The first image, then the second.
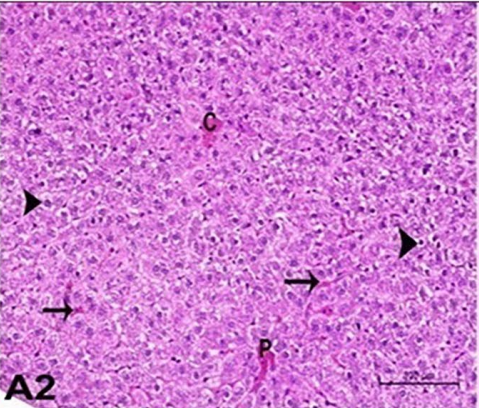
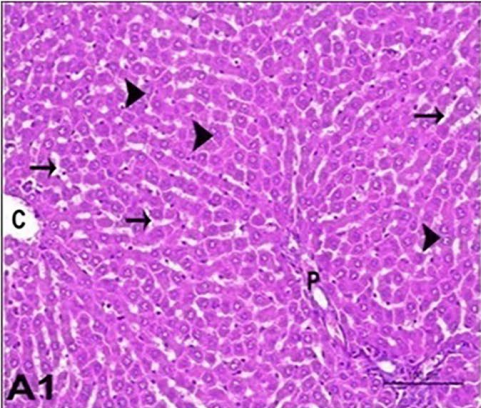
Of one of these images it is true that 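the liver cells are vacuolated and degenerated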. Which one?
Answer: The first image.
